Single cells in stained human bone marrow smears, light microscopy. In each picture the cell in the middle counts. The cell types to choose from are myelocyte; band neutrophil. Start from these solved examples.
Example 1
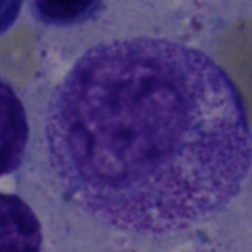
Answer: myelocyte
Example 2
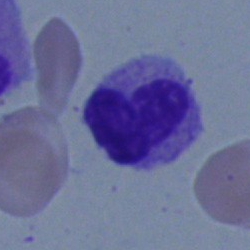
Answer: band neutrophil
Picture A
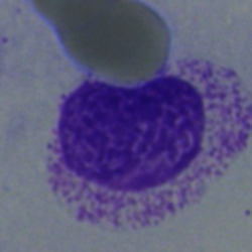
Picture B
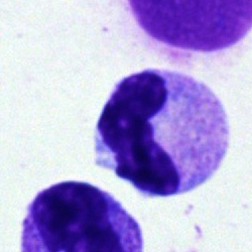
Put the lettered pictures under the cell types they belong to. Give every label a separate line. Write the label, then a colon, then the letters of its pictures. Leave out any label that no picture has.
myelocyte: A
band neutrophil: B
